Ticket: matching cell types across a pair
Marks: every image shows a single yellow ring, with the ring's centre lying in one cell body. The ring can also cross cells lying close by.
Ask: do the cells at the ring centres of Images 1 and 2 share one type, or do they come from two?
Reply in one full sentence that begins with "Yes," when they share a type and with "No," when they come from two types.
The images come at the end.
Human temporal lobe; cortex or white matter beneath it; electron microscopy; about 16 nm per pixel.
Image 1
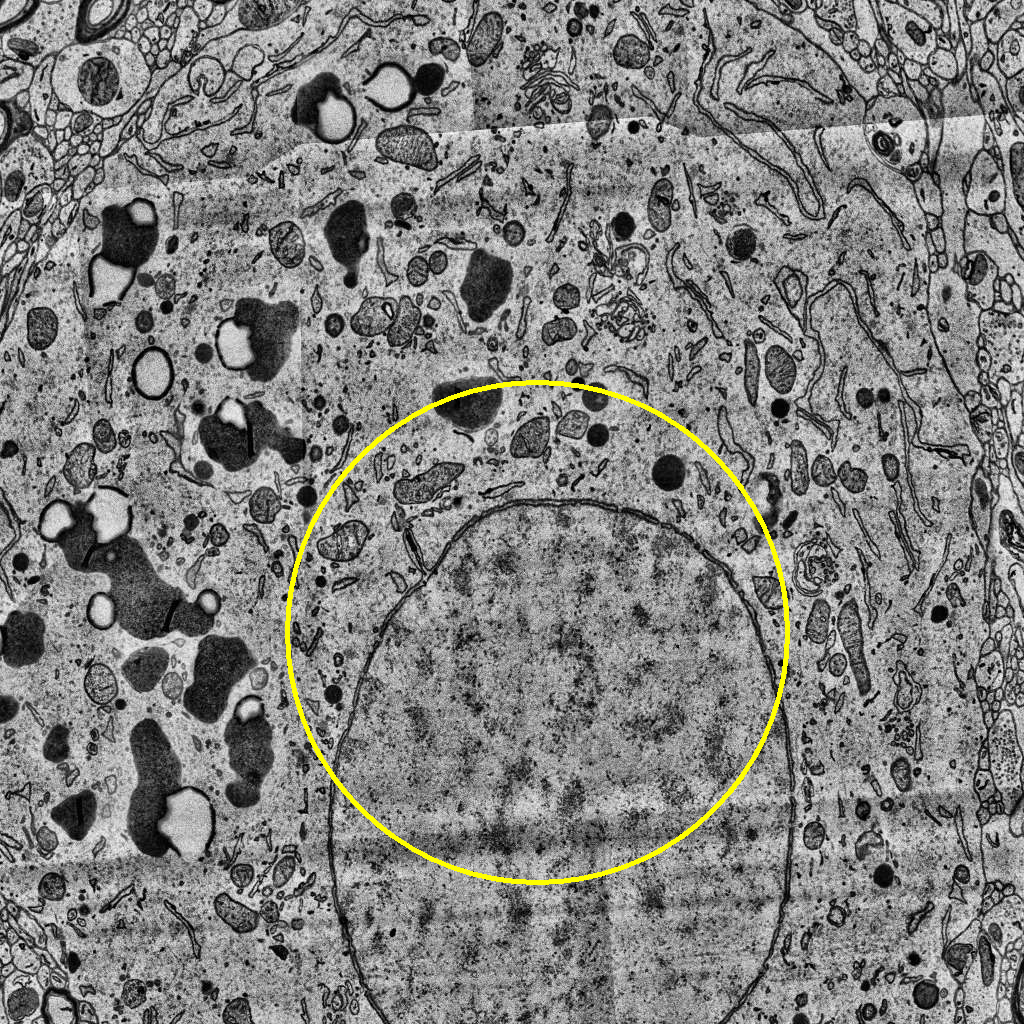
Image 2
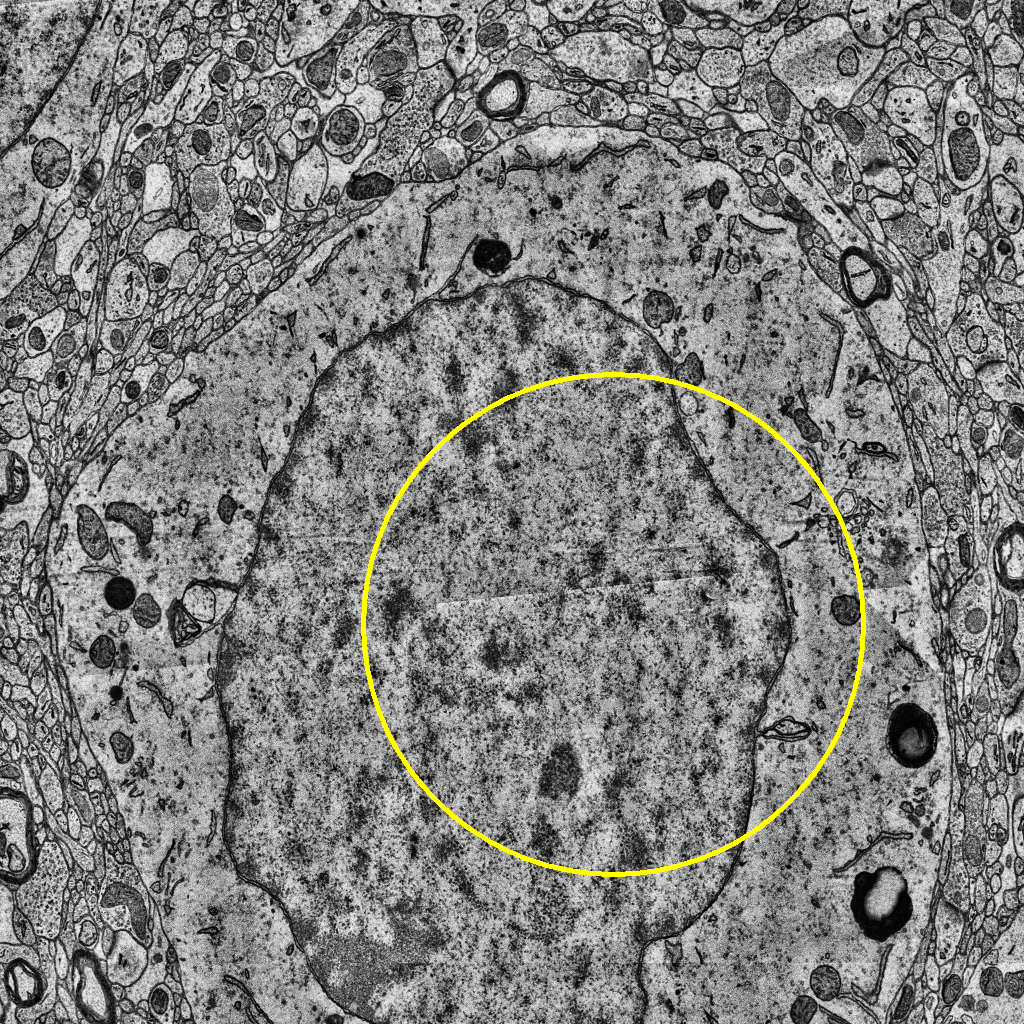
Yes, the cells at the centres of the rings in Image 1 and Image 2 share one type.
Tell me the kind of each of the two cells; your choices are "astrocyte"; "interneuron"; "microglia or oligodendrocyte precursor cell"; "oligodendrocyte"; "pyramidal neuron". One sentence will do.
Each of the two cells is a pyramidal neuron.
